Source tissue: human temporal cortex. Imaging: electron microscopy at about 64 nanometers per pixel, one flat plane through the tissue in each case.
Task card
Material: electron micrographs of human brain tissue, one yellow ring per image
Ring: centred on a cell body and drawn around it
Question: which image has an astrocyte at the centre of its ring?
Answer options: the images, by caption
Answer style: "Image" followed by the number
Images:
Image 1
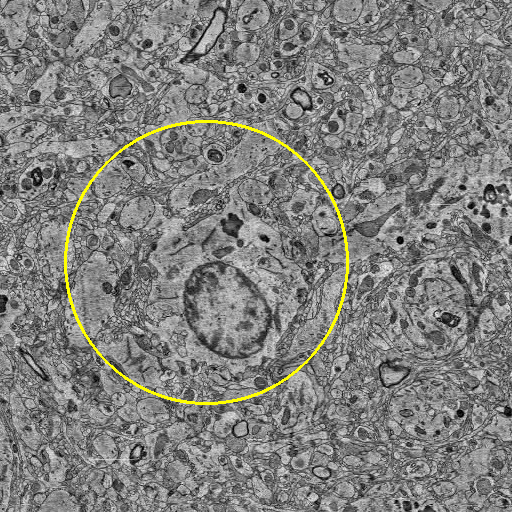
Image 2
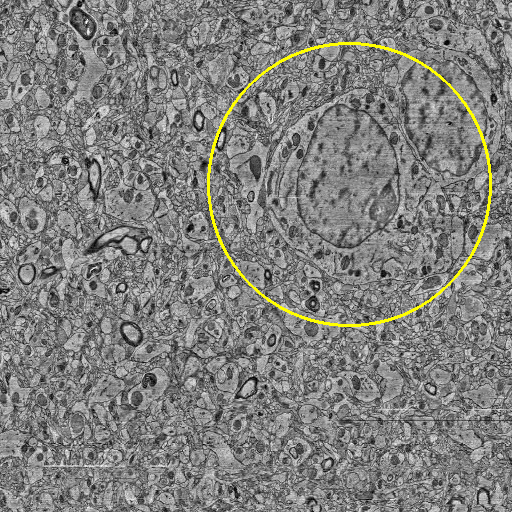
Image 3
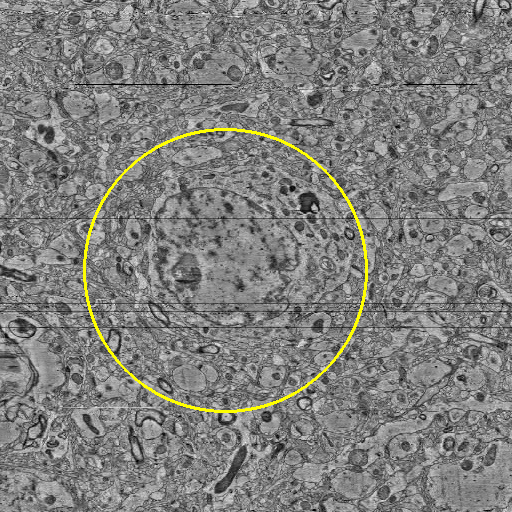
Image 1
